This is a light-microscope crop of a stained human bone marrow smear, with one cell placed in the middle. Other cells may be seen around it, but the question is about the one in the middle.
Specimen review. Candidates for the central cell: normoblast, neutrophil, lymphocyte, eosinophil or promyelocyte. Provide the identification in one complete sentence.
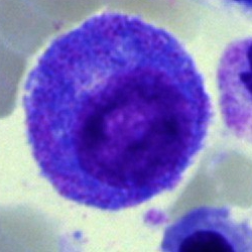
Located at the centre of the crop is a promyelocyte.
